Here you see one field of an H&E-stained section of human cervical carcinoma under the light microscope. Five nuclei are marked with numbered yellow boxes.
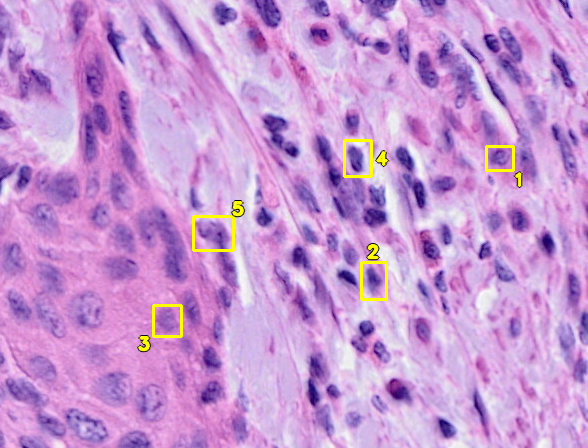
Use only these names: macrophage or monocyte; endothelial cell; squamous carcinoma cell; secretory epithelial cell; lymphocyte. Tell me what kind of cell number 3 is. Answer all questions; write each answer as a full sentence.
At number 3, the marked cell is a squamous carcinoma cell.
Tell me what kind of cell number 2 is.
The identity of cell 2 is that of a lymphocyte.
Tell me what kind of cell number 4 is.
In the marked set, the cell given number 4 is a lymphocyte.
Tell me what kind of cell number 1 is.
The numbered cell 1 is identified here as an endothelial cell.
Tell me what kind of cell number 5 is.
Heads up, the cell numbered 5 is a macrophage or monocyte.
